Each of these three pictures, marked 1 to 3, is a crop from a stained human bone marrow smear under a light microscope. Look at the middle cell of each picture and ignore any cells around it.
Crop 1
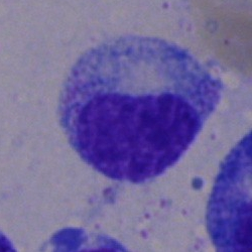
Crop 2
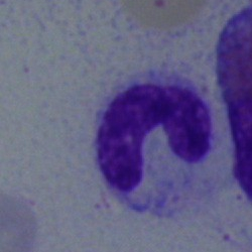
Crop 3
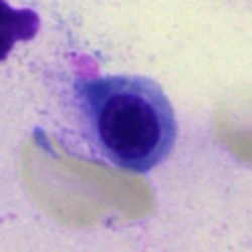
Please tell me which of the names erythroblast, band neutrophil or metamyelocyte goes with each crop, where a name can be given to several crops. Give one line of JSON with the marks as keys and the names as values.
{"1": "metamyelocyte", "2": "band neutrophil", "3": "erythroblast"}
